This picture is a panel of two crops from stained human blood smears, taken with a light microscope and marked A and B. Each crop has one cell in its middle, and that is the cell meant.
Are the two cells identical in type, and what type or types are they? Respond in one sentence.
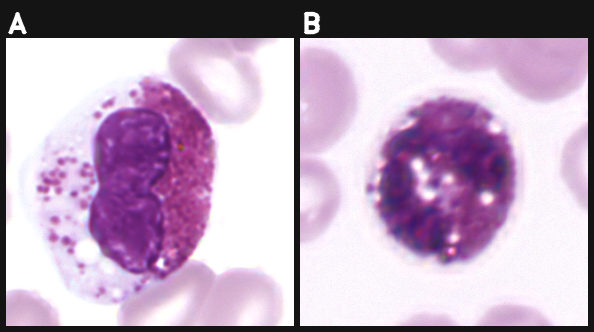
Yes, the cells of interest in both crops are eosinophils.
